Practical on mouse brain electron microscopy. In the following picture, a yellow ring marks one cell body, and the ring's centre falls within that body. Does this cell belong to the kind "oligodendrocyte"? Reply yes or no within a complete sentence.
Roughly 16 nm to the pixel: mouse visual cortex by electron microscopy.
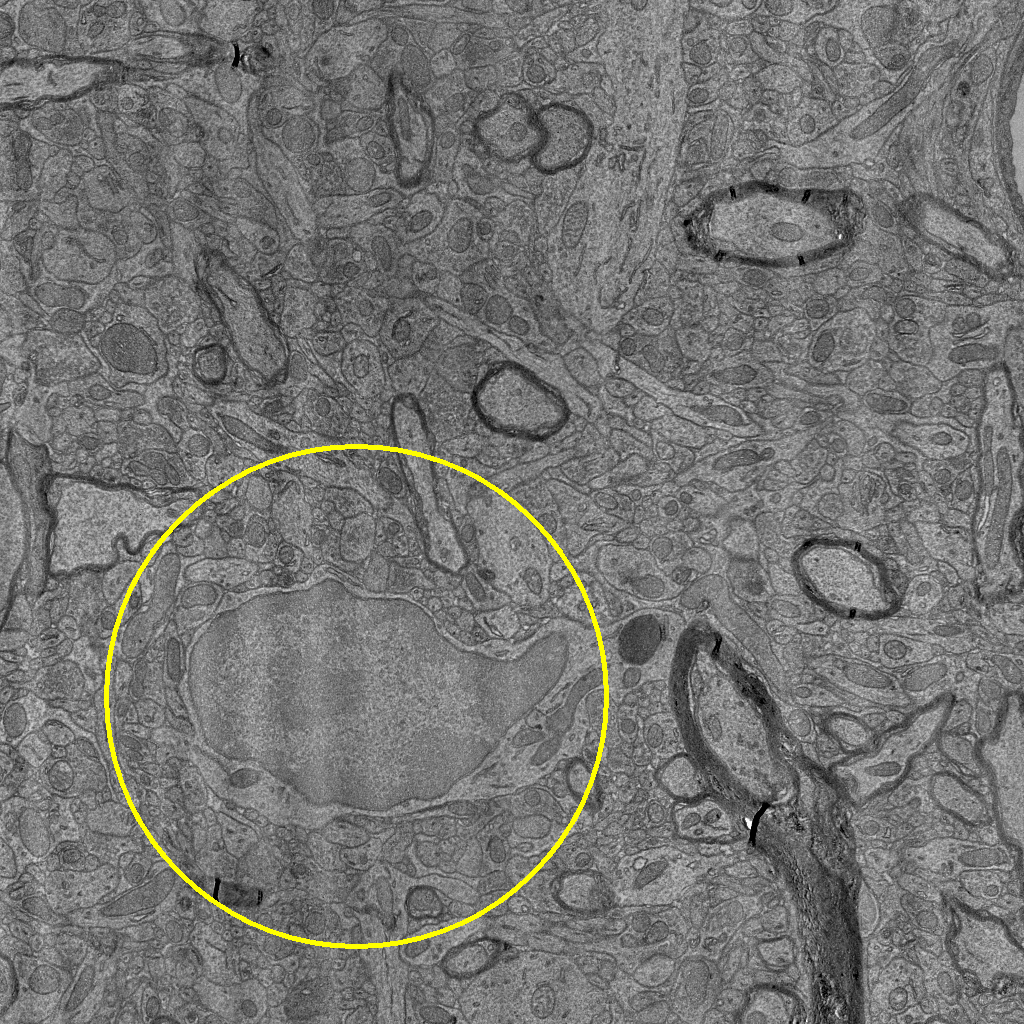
No, the cell holding the centre of the ring here is another kind.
